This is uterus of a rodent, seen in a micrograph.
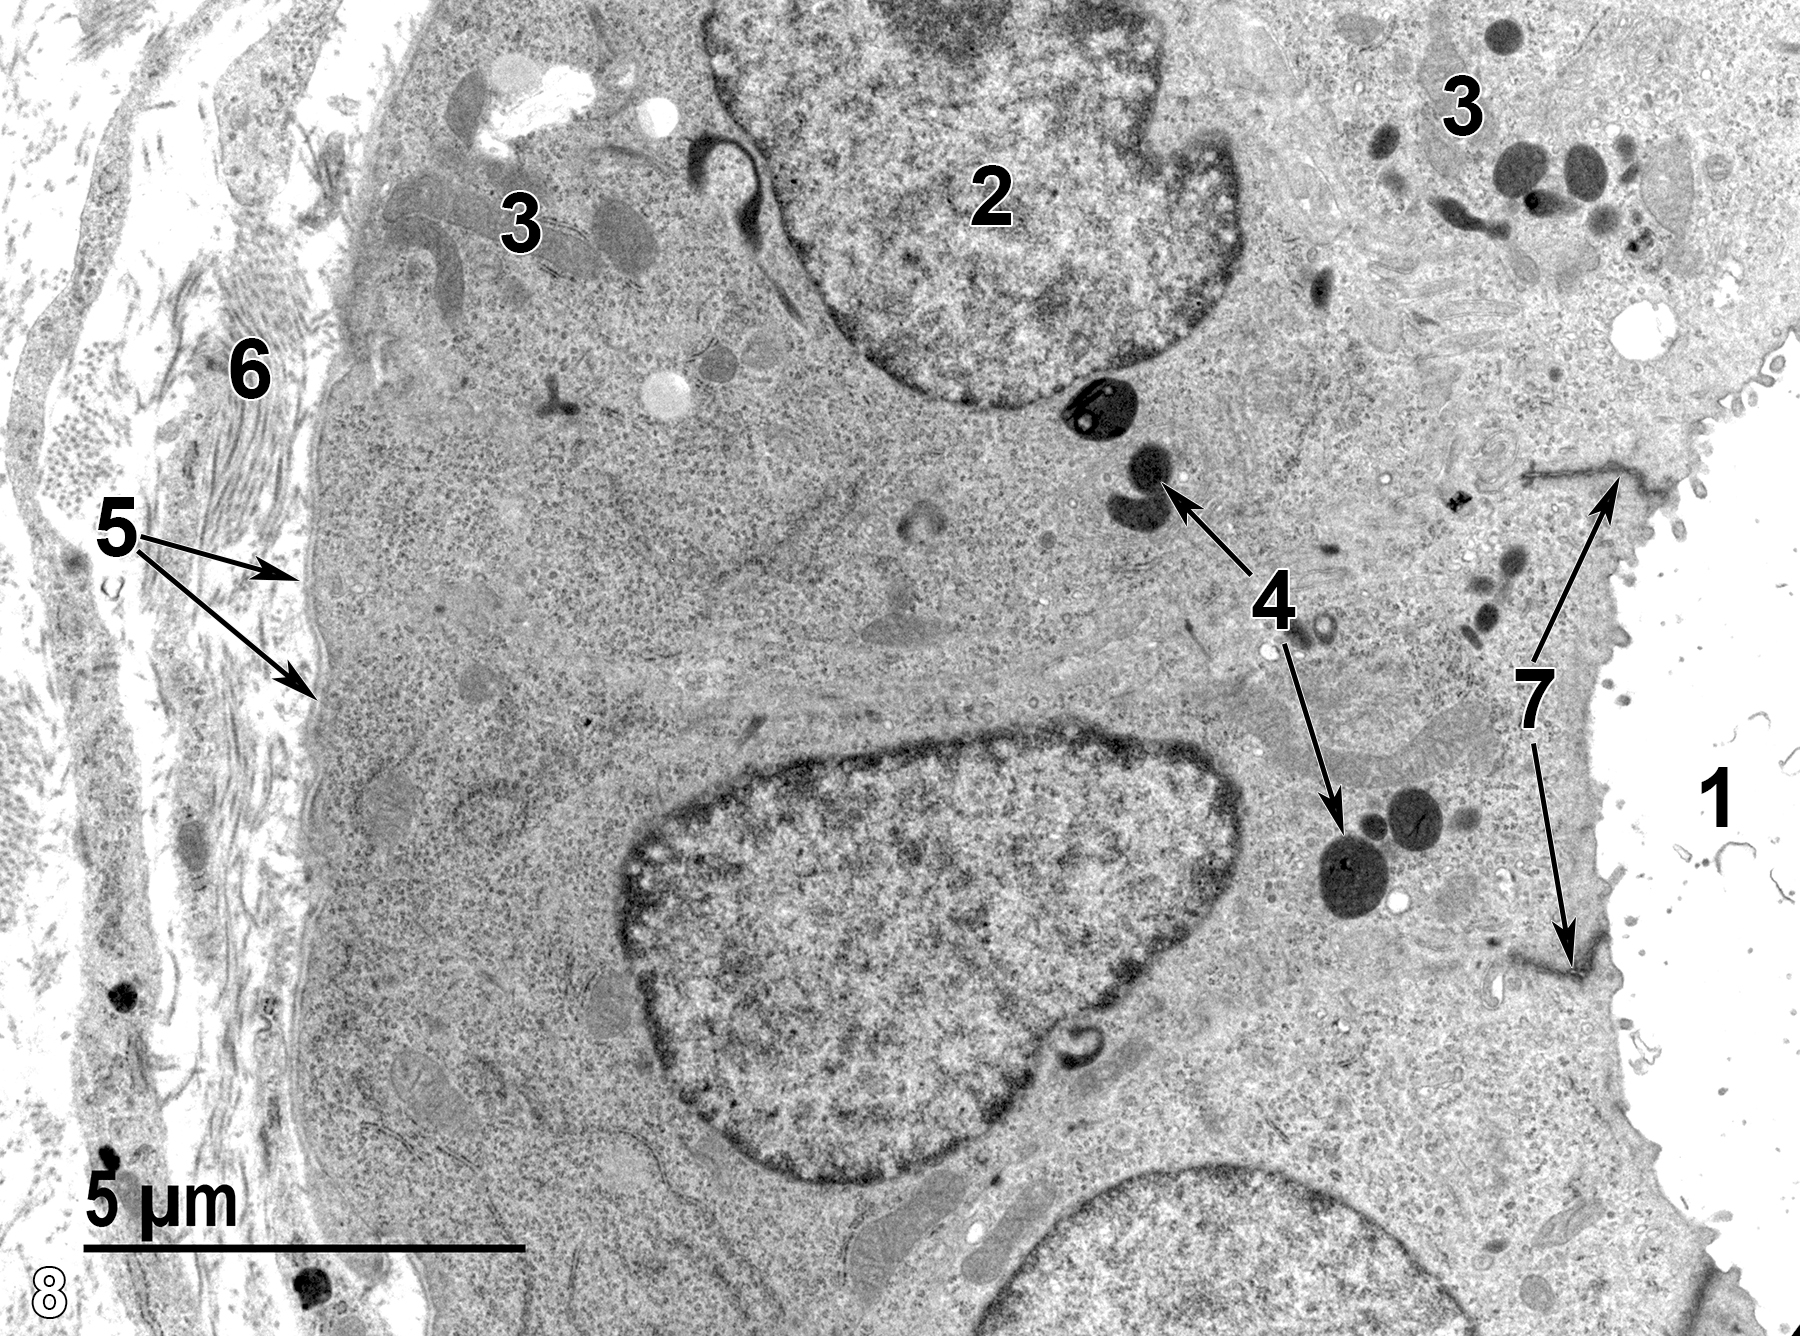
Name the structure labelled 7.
7 marks the junctional complexes.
